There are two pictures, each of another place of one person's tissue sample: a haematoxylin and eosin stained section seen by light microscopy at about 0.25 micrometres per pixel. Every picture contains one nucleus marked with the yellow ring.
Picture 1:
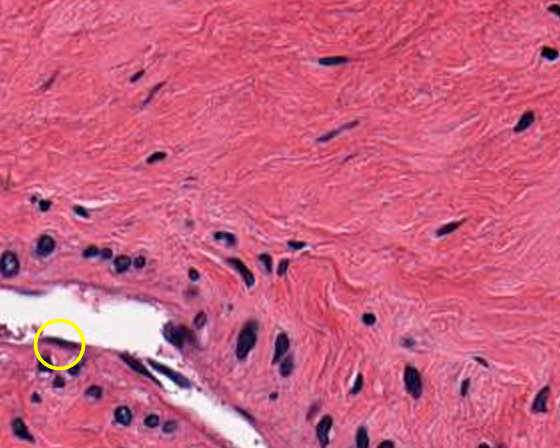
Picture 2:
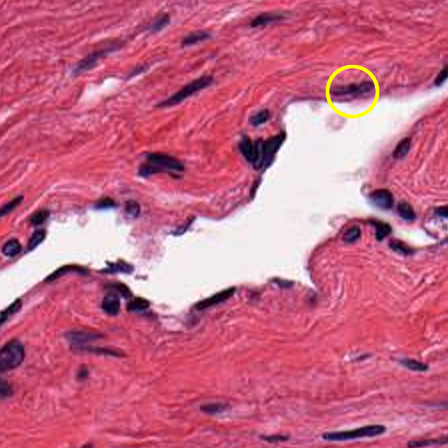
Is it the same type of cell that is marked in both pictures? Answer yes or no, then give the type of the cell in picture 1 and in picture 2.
Yes, both are endothelial cells.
